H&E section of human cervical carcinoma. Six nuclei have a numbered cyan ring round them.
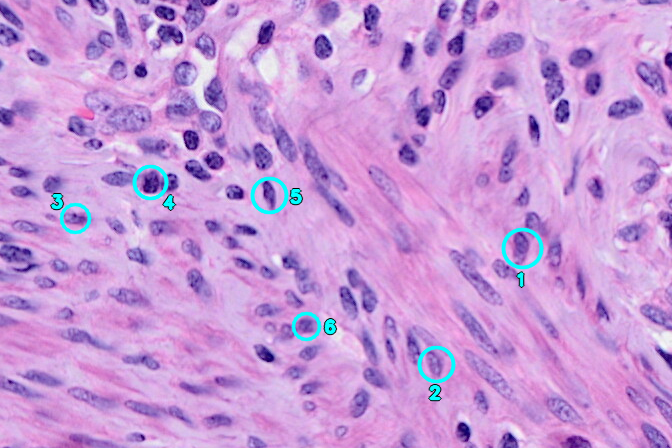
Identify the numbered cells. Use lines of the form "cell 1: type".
cell 1: smooth muscle cell
cell 2: smooth muscle cell
cell 3: smooth muscle cell
cell 4: lymphocyte
cell 5: fibroblast
cell 6: smooth muscle cell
